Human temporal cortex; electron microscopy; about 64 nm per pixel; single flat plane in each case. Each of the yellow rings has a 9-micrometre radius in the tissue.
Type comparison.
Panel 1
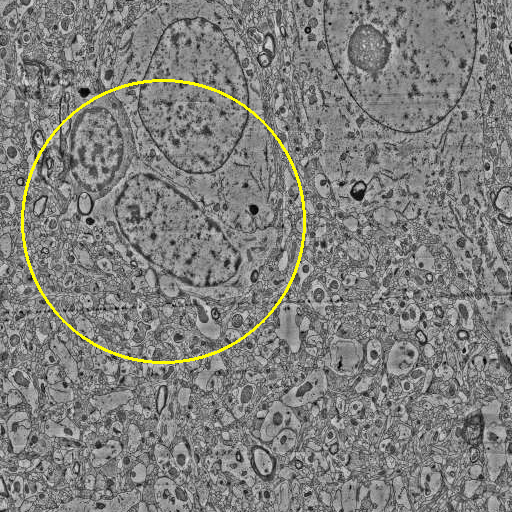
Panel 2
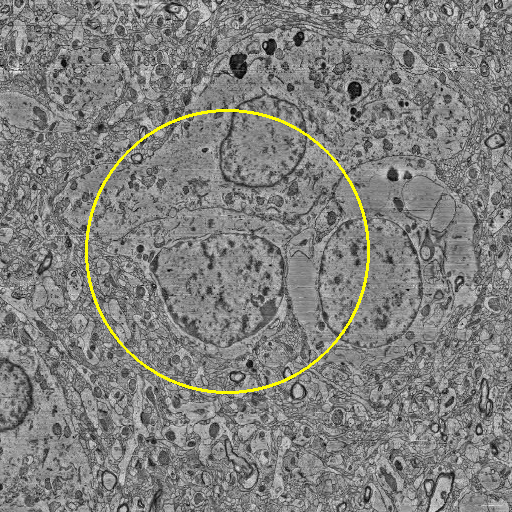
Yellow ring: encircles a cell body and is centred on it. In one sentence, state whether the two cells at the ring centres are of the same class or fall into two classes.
In these panels, the two cells at the ring centres are of the same class.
